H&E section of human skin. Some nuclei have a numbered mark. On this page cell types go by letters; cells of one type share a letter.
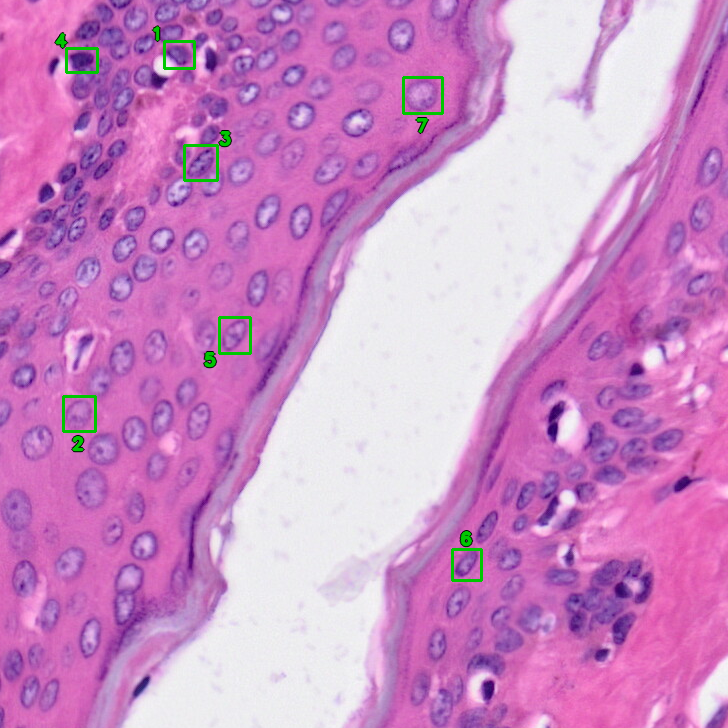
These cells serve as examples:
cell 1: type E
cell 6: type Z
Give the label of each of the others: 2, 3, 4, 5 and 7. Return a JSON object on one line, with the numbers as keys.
{"2": "type Z", "3": "type E", "4": "type E", "5": "type Z", "7": "type Z"}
